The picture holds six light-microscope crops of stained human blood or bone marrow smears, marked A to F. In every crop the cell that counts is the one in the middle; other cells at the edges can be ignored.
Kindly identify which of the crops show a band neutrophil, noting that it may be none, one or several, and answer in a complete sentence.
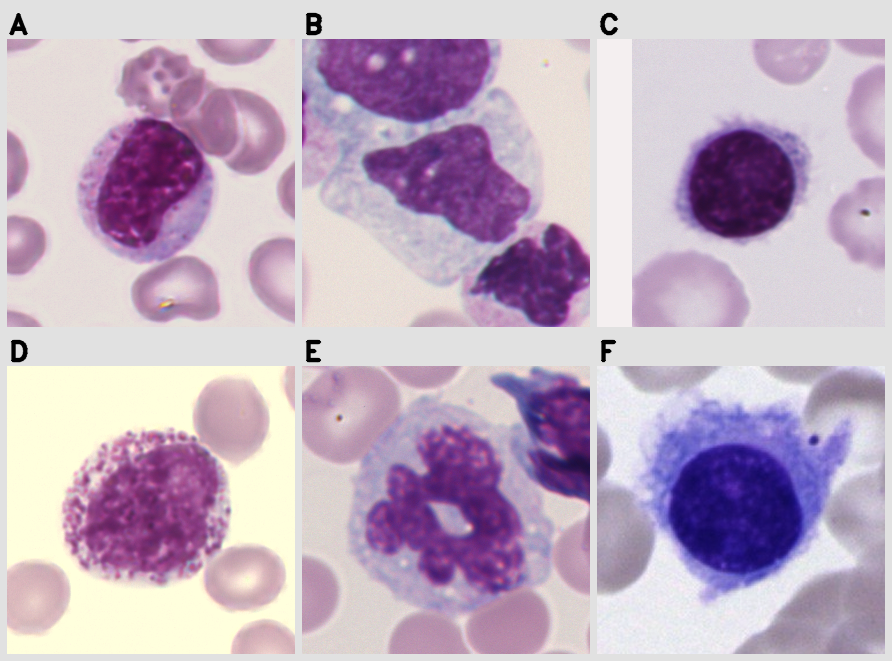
Findings: not one crop in the series shows a band neutrophil.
